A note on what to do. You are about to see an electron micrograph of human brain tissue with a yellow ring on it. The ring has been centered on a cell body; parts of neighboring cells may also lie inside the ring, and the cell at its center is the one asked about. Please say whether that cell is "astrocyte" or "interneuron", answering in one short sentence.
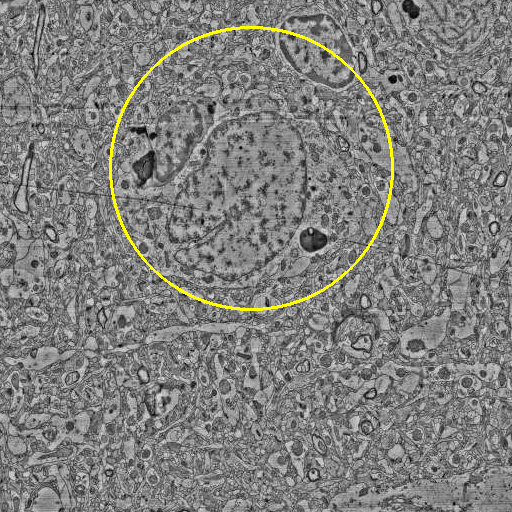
The yellow ring sits on an interneuron.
